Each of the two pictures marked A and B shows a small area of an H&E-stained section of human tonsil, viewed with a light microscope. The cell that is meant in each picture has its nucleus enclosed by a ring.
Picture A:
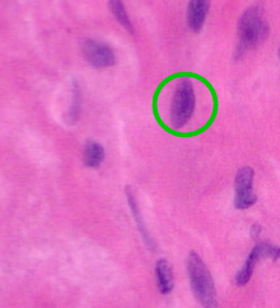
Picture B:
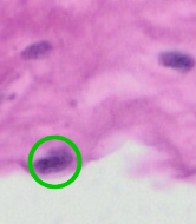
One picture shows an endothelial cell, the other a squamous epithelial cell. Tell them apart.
A: endothelial cell
B: squamous epithelial cell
